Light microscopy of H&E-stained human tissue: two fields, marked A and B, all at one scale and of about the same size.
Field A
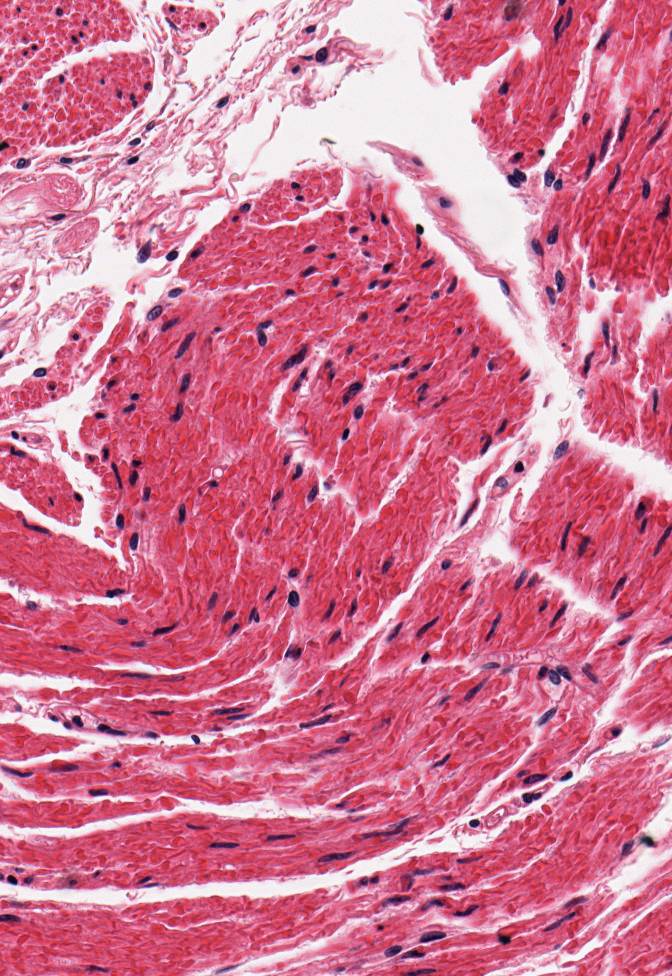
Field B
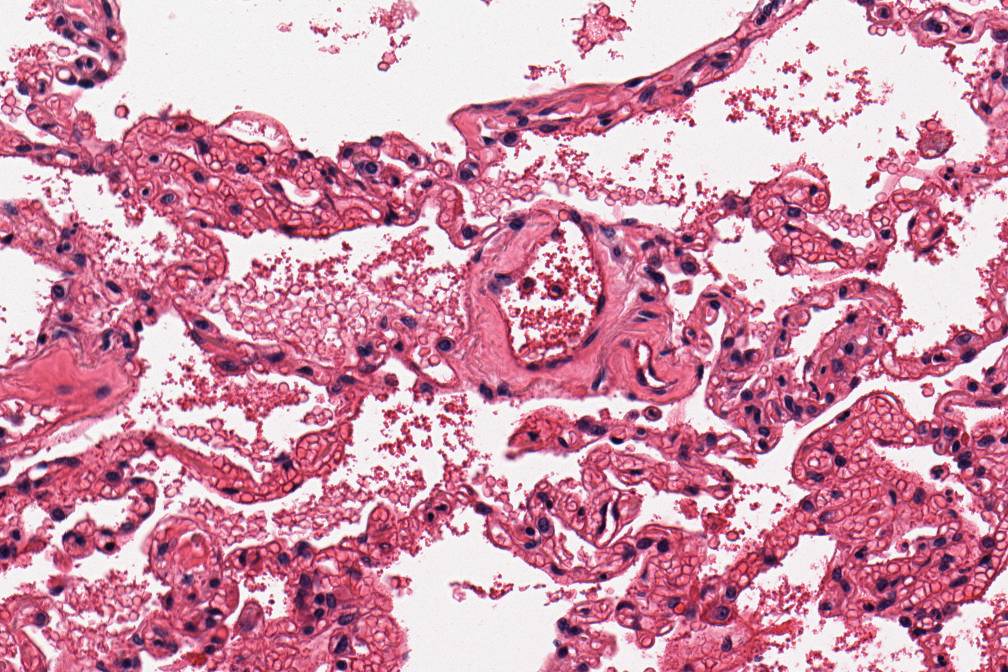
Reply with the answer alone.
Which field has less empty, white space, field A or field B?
A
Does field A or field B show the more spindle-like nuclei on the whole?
A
